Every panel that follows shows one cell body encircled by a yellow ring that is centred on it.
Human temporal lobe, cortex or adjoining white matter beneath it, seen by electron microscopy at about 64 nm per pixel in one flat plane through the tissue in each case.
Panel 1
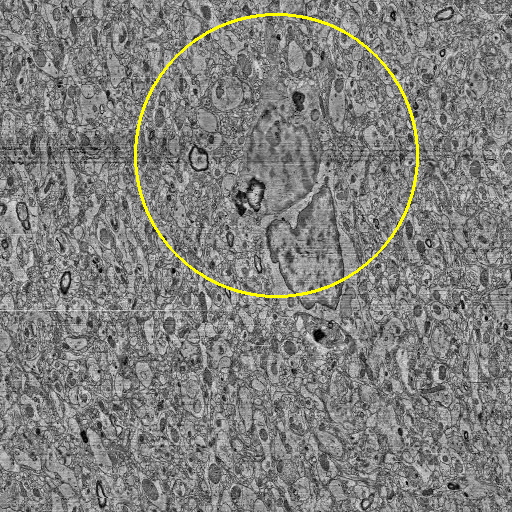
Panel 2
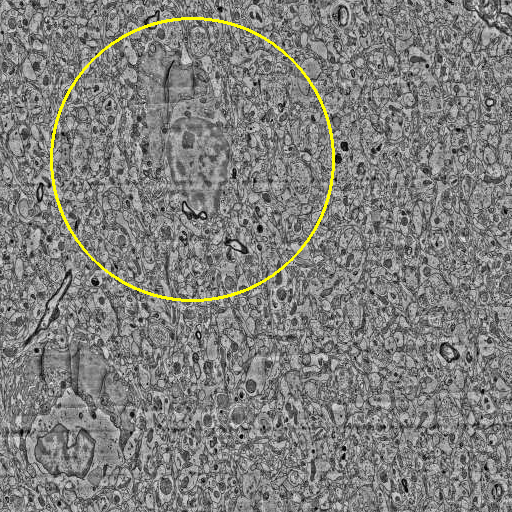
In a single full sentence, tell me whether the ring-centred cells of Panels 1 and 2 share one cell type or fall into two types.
In Panel 1 and Panel 2, the cells at the ring centres share one cell type.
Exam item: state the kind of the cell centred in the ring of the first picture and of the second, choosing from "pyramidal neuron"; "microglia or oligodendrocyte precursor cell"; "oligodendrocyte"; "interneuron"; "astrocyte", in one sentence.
Each of the two rings is centred on an oligodendrocyte.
